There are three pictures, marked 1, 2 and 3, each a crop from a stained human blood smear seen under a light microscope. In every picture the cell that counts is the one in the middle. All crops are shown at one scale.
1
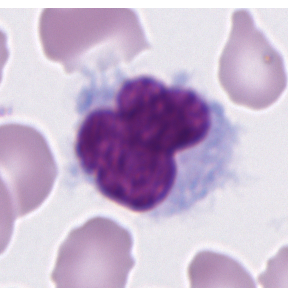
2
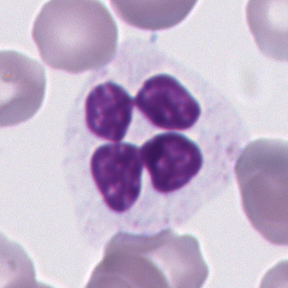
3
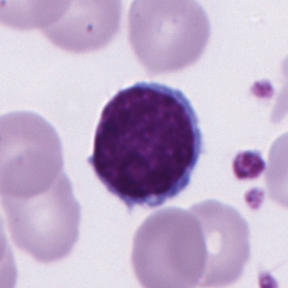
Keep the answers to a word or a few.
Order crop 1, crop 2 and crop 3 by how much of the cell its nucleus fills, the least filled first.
2, 1, 3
